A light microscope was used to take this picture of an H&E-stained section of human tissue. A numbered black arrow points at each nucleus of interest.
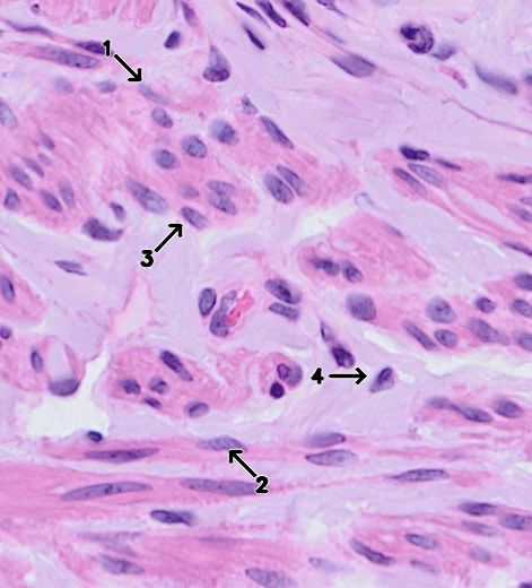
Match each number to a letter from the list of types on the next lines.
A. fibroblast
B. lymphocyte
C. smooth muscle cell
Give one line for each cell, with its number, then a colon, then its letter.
1: C
2: C
3: C
4: A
